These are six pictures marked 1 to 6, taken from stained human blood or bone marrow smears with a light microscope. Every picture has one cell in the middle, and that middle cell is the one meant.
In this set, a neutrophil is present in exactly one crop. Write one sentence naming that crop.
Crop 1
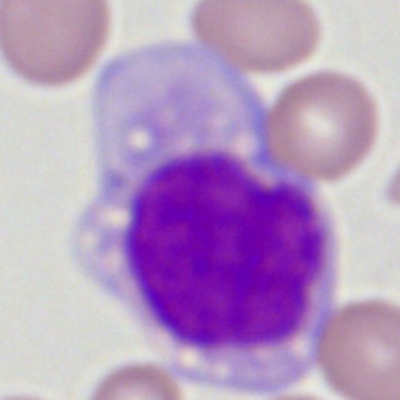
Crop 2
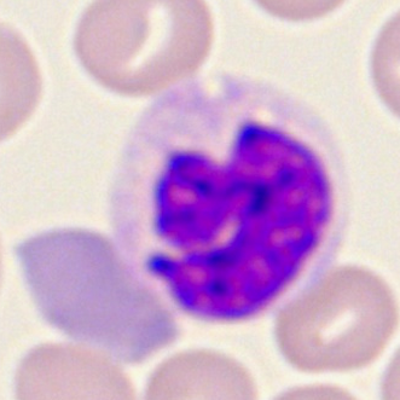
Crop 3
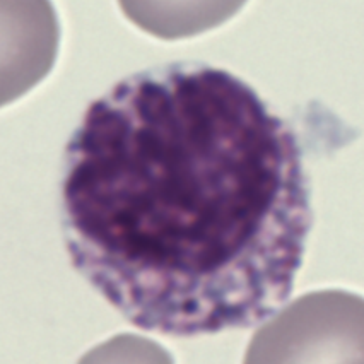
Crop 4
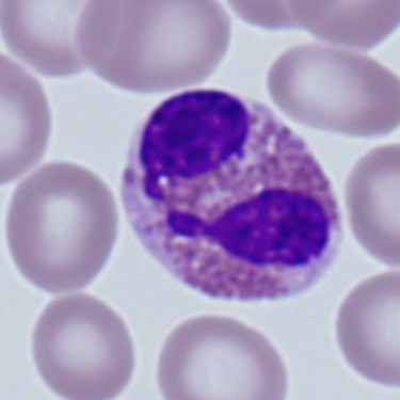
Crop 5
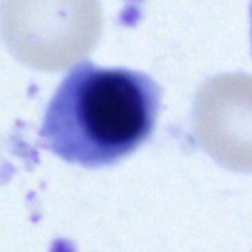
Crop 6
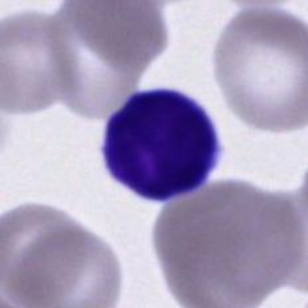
It is in crop 2 that a neutrophil is shown.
